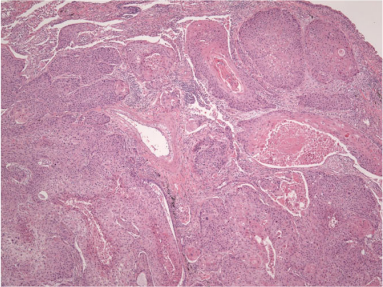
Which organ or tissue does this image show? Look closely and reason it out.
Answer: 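Moderately differentiated squamous cell carcinoma. Irregular nests of tumour cells with pink cytoplasm infiltrate a fibrous stroma. Tumour nests are solid sheets of polygonal cells rather than glands.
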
